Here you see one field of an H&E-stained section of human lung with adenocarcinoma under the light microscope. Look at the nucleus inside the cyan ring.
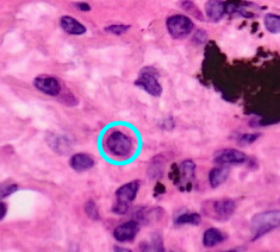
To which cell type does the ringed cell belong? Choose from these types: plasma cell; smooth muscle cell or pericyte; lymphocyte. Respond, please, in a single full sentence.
Just put down that the ringed cell is a plasma cell.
